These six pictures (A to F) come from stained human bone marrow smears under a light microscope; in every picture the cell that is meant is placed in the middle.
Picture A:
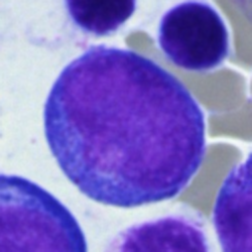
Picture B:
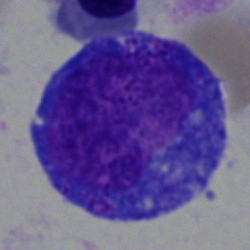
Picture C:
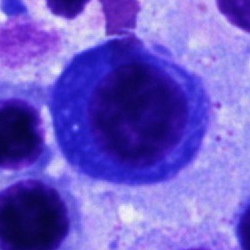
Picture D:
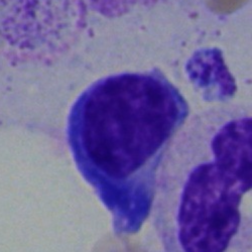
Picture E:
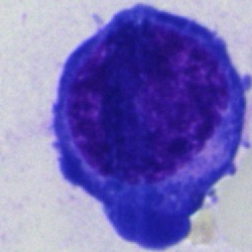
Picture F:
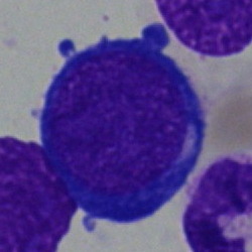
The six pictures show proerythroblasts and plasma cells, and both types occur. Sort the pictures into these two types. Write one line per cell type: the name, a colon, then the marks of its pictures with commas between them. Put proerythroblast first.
proerythroblast: A, B, E, F
plasma cell: C, D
